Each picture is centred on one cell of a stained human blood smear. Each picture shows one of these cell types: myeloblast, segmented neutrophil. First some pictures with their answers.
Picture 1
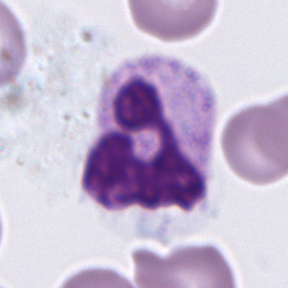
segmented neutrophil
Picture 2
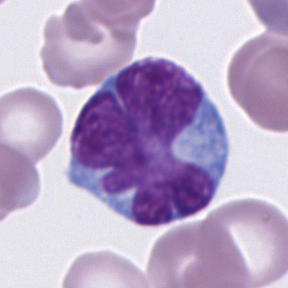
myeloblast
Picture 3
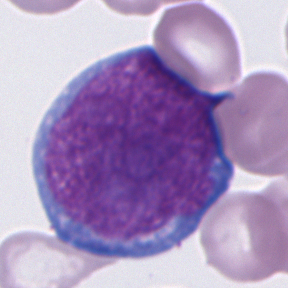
myeloblast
